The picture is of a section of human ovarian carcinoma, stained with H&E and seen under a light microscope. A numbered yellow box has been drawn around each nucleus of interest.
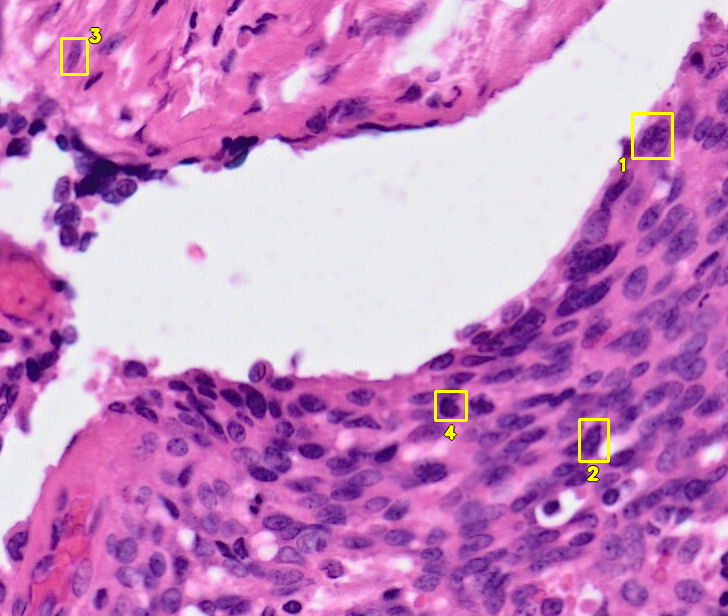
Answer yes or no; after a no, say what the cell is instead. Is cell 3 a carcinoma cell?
No, it is a fibroblast.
